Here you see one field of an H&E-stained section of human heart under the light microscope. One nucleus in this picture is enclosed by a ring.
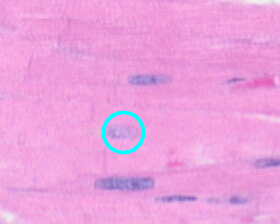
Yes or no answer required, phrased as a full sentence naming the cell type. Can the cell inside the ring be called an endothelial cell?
No, for the cell inside the ring the correct label is a cardiomyocyte and not an endothelial cell.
